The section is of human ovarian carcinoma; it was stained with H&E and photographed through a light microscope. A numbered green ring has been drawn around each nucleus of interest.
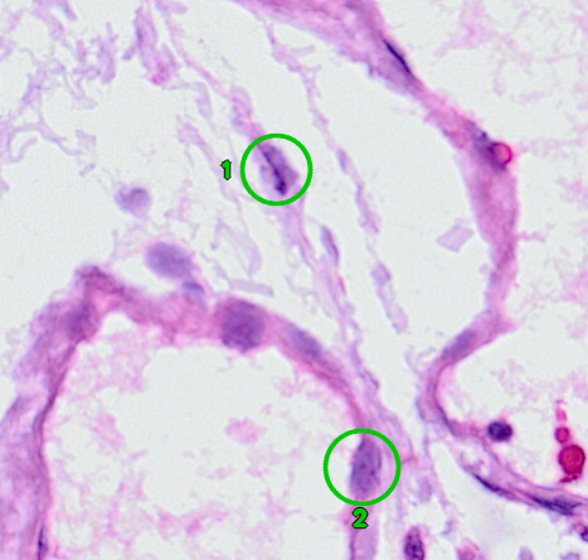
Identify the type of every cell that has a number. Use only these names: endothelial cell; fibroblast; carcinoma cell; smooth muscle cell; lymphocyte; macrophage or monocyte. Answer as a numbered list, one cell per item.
1. fibroblast
2. endothelial cell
